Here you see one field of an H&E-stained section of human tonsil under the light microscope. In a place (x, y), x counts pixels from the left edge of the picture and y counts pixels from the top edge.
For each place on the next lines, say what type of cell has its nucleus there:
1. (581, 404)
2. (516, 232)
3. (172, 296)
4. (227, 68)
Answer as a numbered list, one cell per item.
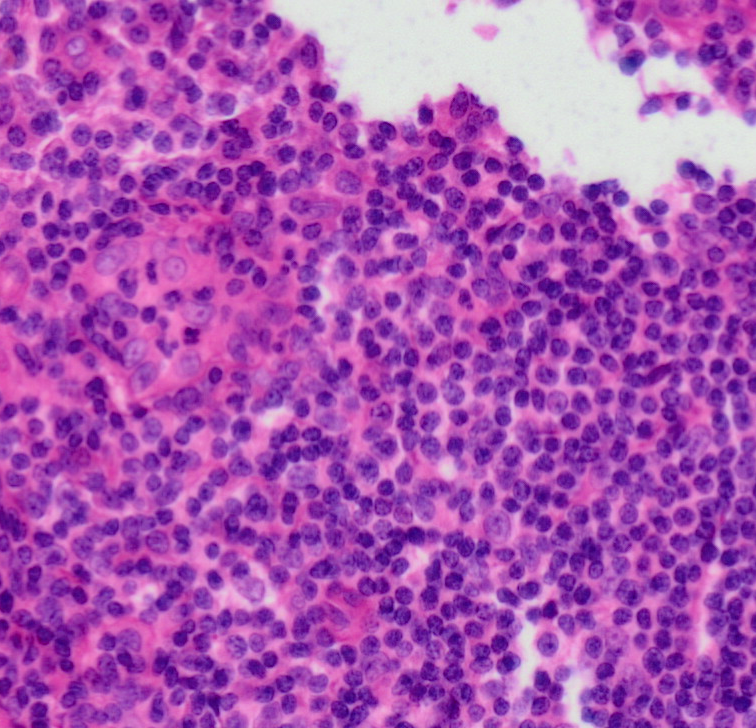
1. small lymphocyte
2. small lymphocyte
3. endothelial cell
4. plasma cell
